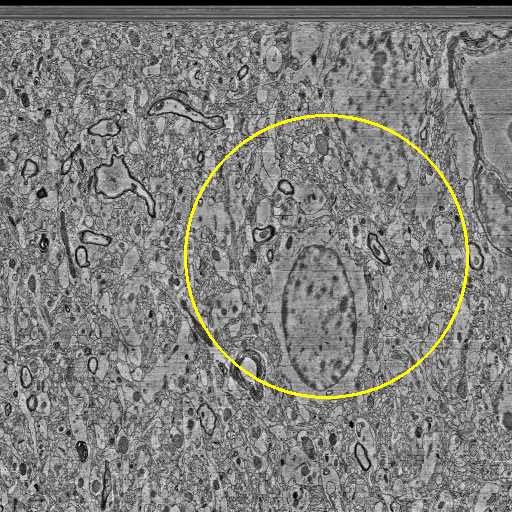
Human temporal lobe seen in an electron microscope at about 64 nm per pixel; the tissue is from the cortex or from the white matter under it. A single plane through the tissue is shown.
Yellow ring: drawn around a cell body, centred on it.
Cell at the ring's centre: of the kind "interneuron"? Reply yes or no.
no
